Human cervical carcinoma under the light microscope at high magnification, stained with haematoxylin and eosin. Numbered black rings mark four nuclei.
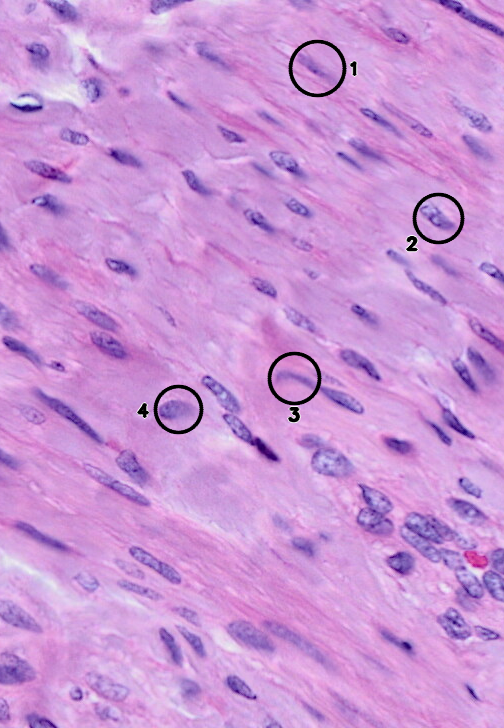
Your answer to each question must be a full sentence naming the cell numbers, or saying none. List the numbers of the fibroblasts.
The cells the numbers 2, 3 and 4 point to are fibroblasts.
